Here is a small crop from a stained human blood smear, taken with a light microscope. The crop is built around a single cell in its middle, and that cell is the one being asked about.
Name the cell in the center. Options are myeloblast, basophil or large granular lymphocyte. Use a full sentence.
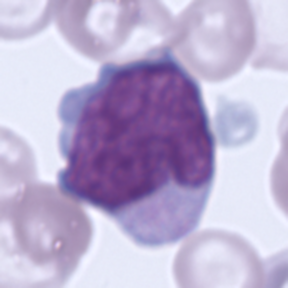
The single cell at the center of the crop is a myeloblast.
